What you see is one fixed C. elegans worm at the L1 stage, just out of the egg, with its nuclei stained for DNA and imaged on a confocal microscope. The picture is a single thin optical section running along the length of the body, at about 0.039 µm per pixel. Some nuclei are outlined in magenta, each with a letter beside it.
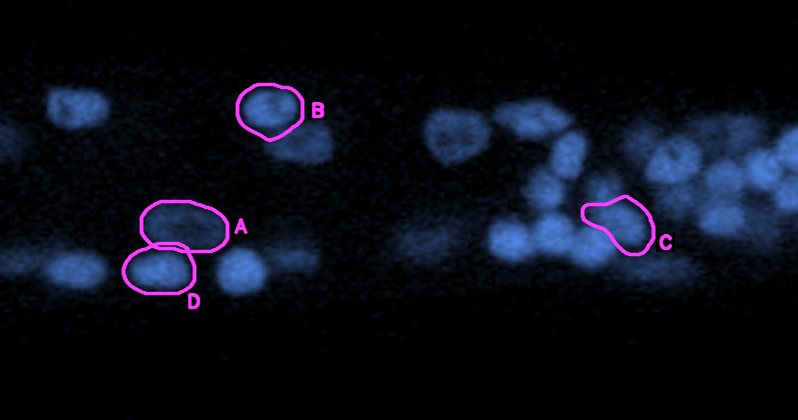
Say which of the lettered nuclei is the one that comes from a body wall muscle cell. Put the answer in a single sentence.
B is the one that belongs to a body wall muscle cell.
